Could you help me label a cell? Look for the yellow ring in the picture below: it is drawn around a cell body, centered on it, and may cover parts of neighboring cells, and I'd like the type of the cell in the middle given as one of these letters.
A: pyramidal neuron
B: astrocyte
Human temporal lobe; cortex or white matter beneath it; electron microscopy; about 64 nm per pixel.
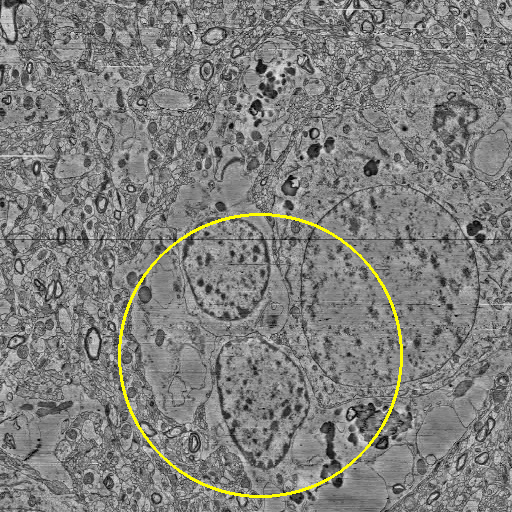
B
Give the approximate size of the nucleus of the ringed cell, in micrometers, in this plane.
The nucleus measures about 9 by 6 micrometres, so it is clearly longer than it is wide in this plane.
